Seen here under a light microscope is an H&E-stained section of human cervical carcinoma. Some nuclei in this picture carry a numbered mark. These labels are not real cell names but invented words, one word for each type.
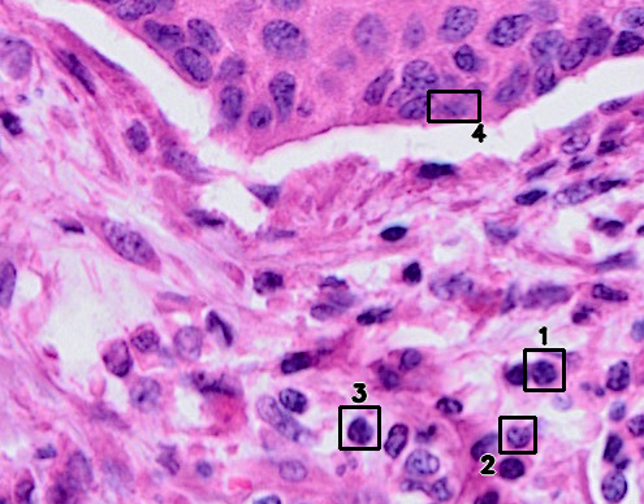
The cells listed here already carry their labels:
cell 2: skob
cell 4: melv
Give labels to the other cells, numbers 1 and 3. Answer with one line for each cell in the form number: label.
1: skob
3: skob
